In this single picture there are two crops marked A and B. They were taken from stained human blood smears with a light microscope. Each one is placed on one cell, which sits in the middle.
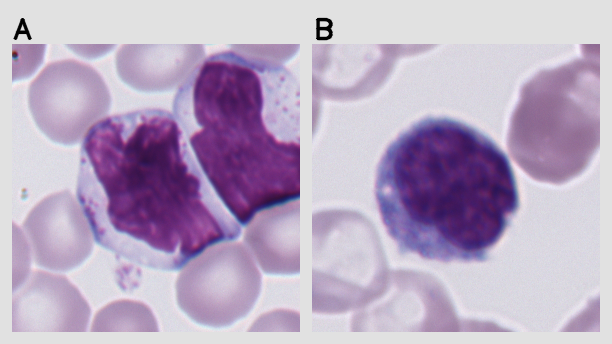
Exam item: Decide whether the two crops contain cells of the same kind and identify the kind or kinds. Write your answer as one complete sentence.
No, crop A contains a large granular lymphocyte, whereas crop B contains a monocyte.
